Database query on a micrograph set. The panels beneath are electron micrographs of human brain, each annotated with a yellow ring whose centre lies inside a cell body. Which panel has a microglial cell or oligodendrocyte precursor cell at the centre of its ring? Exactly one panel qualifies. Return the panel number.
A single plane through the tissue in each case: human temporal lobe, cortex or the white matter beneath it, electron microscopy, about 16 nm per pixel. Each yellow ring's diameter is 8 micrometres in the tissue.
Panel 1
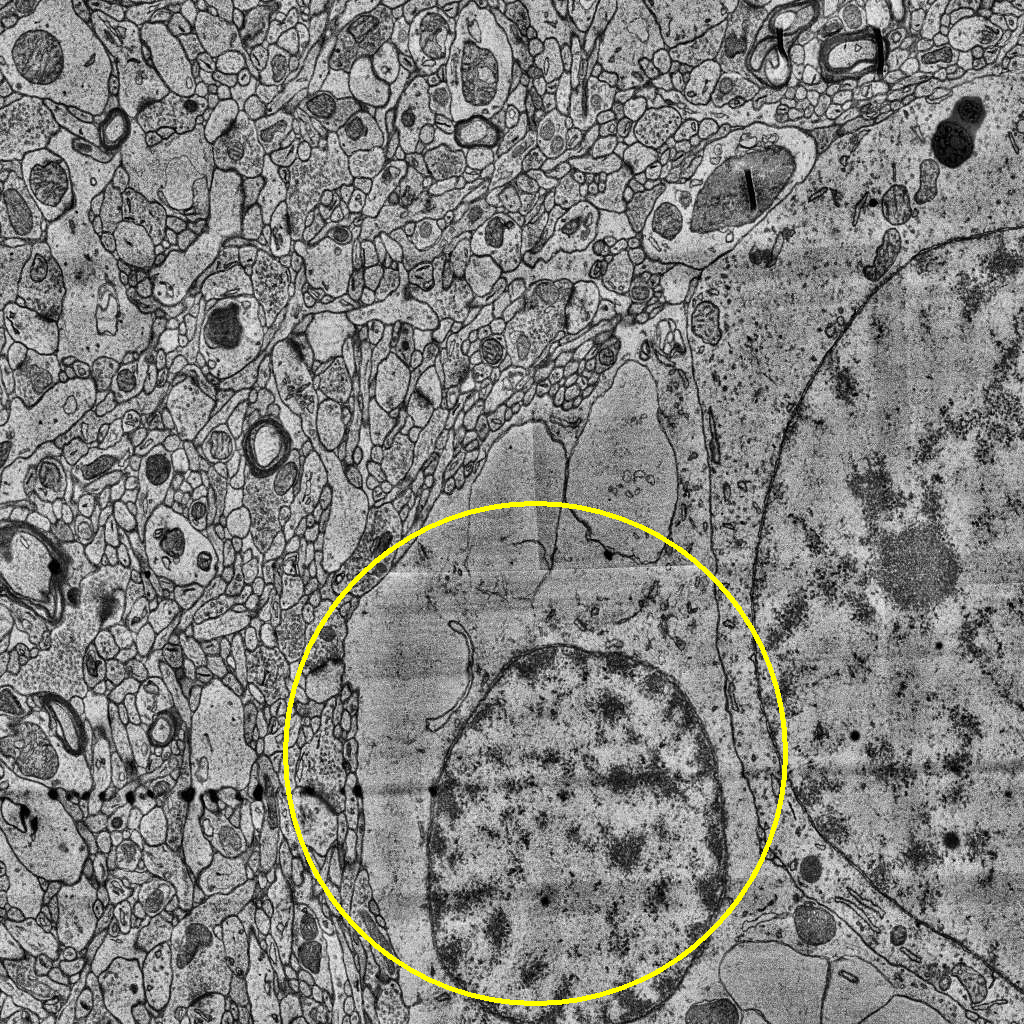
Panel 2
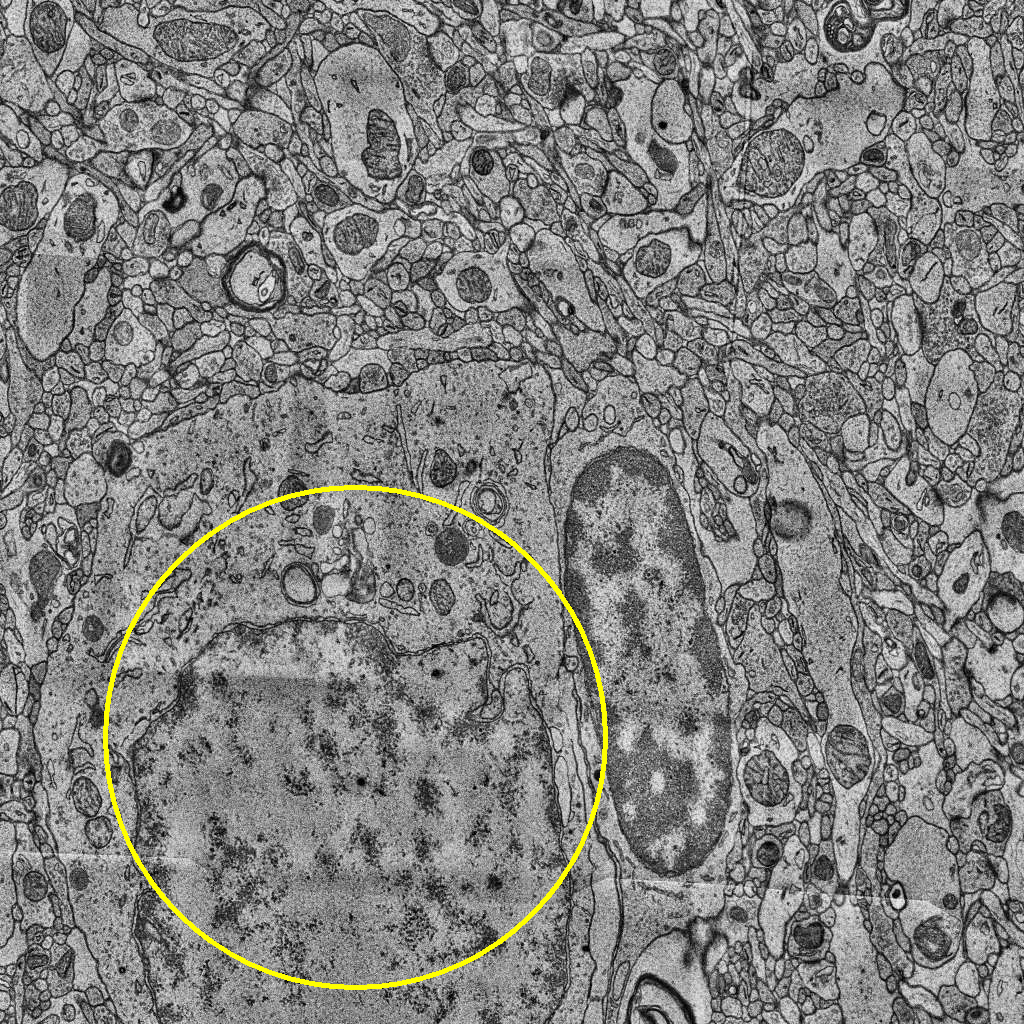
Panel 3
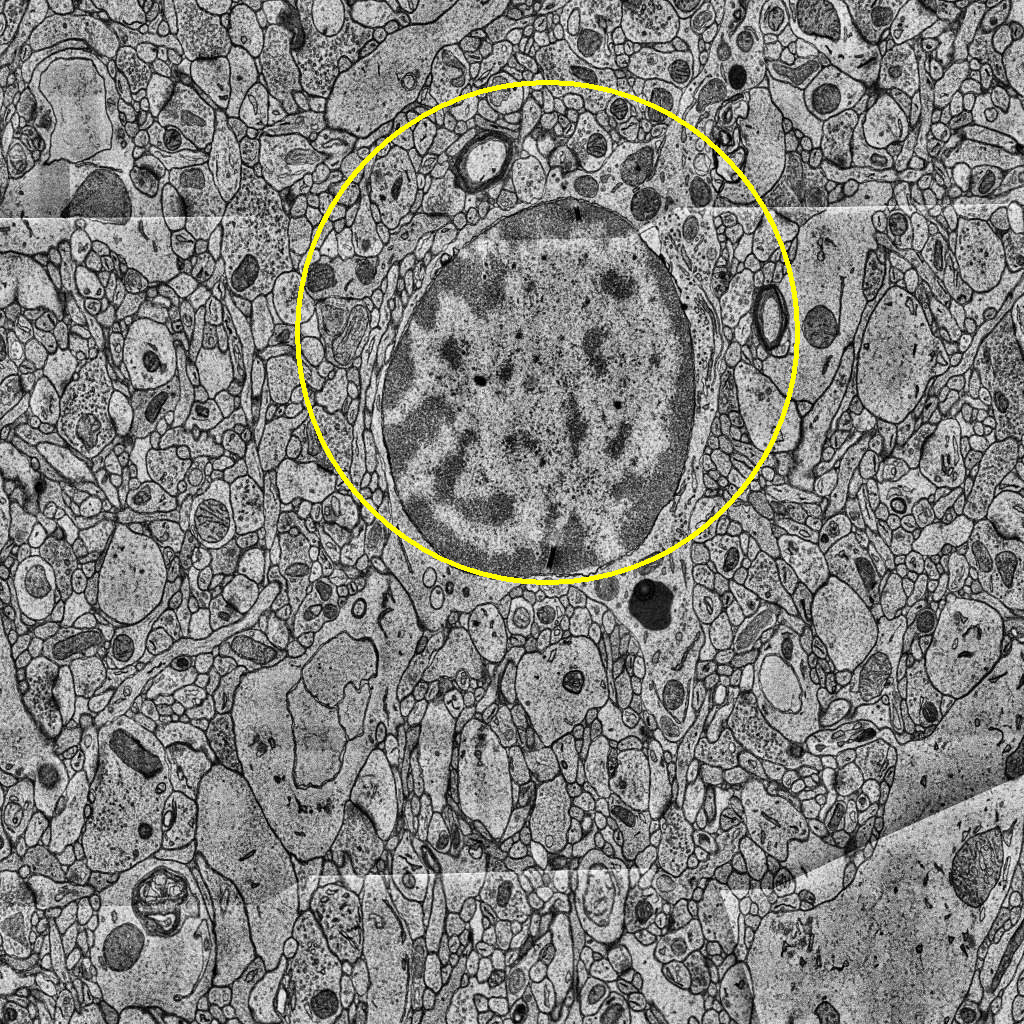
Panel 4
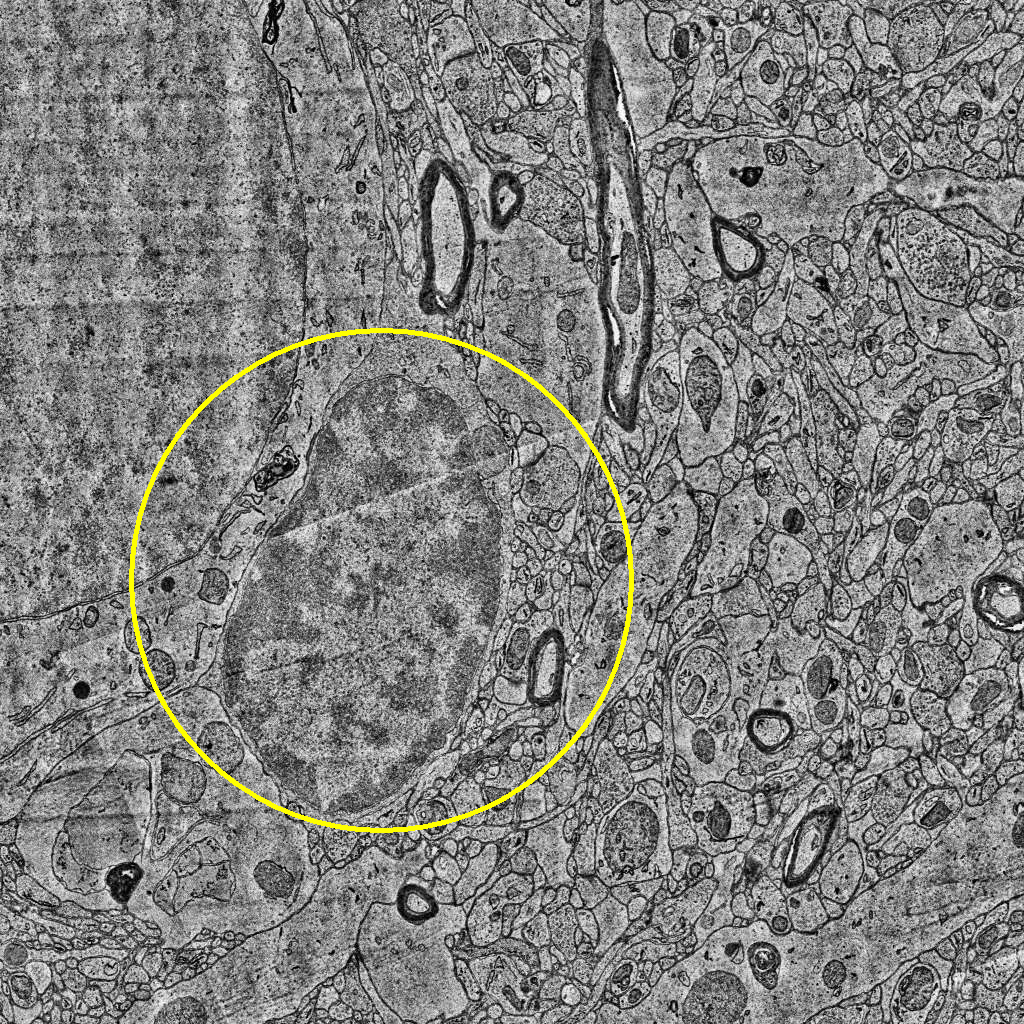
3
